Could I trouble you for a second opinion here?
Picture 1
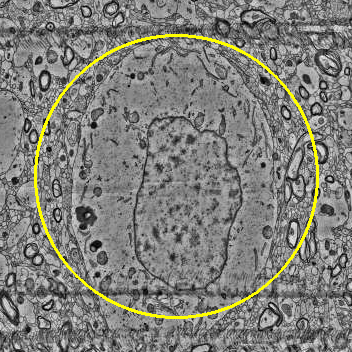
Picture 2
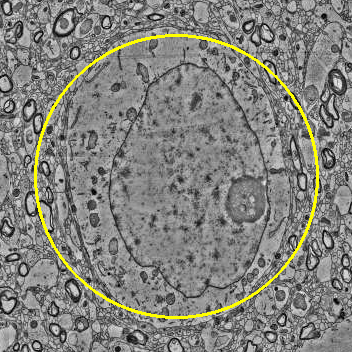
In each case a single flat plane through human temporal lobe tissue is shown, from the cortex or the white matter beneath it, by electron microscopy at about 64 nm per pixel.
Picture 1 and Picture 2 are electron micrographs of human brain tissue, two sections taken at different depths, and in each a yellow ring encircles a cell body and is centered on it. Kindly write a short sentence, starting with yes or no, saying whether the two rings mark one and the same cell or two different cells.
Yes, both yellow rings mark one and the same cell.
